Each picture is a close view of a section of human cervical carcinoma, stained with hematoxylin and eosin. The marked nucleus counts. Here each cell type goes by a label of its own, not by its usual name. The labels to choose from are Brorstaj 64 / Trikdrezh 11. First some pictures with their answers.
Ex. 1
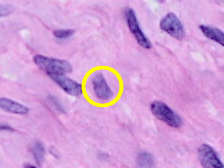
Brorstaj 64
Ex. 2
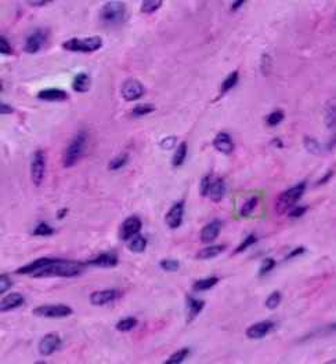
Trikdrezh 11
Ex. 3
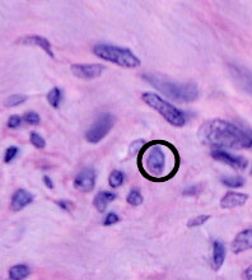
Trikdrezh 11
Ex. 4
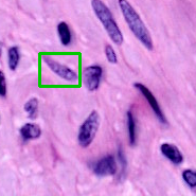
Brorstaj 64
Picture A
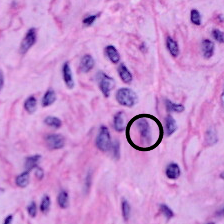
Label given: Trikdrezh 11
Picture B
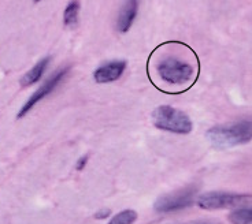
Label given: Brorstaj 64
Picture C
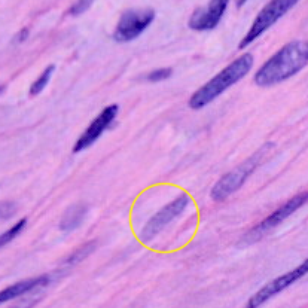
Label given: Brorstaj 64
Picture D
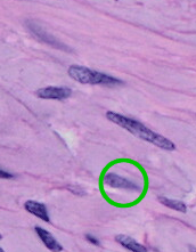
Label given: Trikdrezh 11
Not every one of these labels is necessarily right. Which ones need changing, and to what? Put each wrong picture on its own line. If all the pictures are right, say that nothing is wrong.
C: change Brorstaj 64 to Trikdrezh 11
D: change Trikdrezh 11 to Brorstaj 64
